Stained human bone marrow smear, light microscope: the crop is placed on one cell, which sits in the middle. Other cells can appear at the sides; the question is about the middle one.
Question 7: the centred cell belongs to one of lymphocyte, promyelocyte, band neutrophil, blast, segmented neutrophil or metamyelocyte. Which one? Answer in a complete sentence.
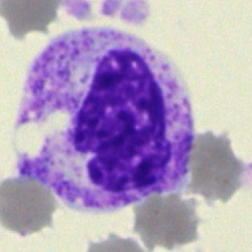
Among the cells in view, the one in the middle is a metamyelocyte.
